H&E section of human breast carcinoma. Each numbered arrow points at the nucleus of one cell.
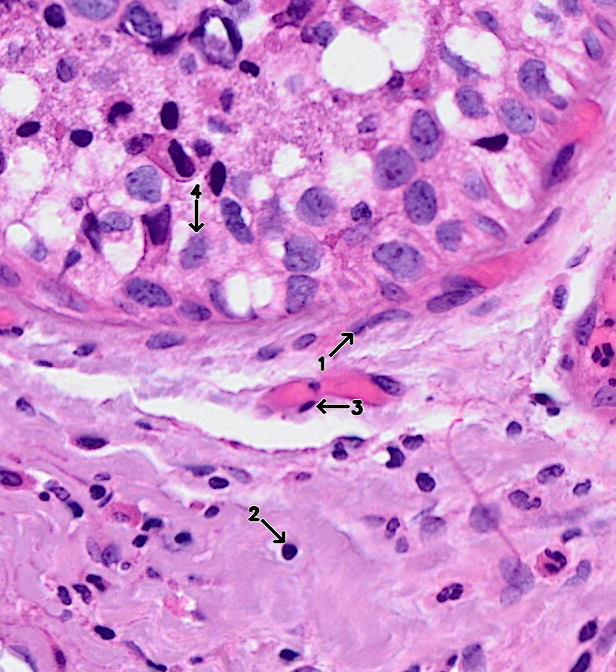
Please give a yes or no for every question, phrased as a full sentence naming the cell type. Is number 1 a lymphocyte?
No, cell 1 is to be classed as an endothelial cell, not a lymphocyte.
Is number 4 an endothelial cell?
No, cell 4 is not an endothelial cell. It is a carcinoma cell.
